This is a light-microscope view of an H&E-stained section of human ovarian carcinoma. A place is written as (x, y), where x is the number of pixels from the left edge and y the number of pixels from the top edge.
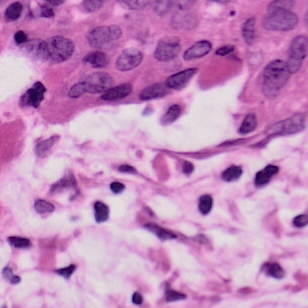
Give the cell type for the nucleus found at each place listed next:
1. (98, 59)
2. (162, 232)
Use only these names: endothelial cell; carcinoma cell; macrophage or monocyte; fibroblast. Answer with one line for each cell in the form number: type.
1: carcinoma cell
2: fibroblast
